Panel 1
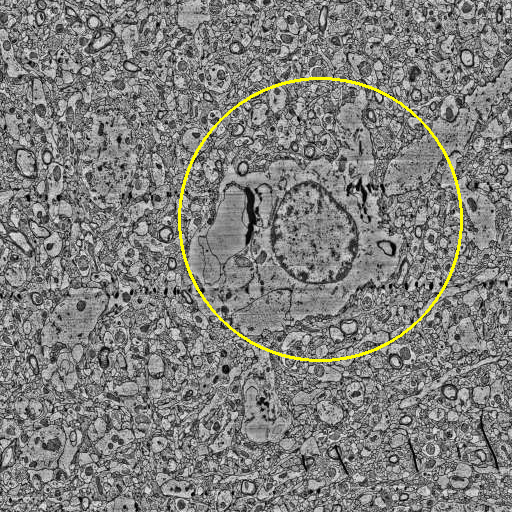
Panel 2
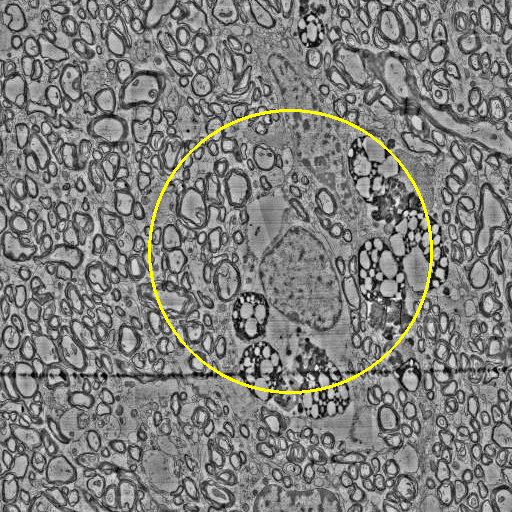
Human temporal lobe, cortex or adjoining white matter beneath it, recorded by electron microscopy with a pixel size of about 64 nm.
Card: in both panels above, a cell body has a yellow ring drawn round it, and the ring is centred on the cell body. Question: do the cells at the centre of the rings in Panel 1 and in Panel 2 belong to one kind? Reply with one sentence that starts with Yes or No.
Yes, the cells centred in the rings of Panel 1 and Panel 2 are one kind of cell.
